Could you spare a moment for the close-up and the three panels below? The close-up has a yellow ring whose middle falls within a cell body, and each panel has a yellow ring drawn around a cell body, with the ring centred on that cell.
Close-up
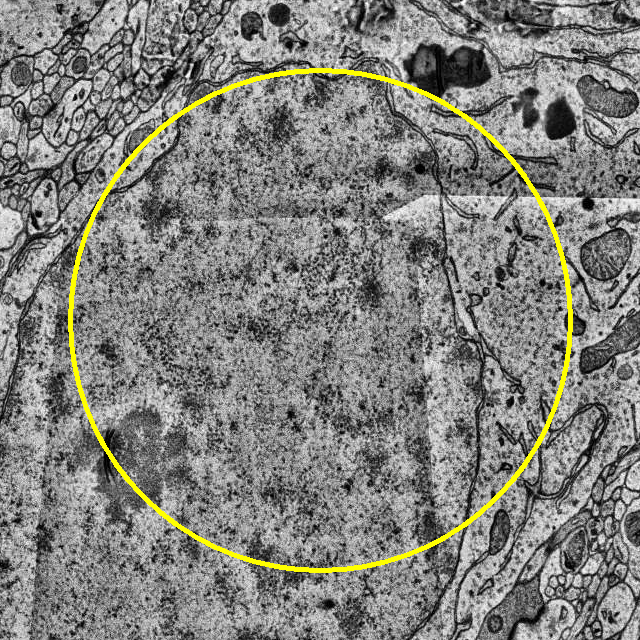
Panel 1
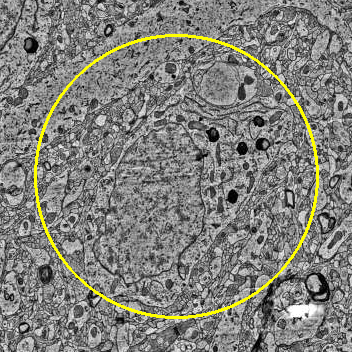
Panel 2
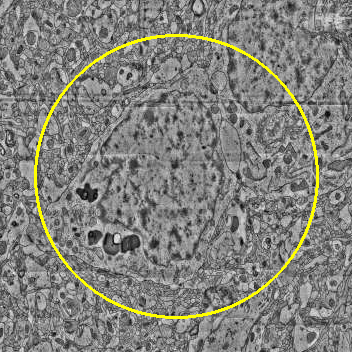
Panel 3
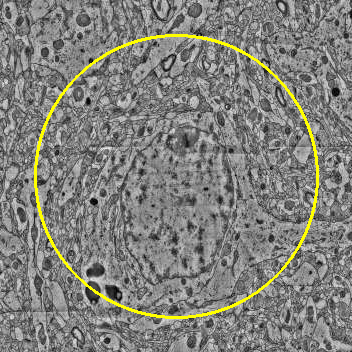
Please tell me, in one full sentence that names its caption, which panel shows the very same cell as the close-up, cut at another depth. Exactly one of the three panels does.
Of all the ringed cells, the close-up shows the one in Panel 1.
